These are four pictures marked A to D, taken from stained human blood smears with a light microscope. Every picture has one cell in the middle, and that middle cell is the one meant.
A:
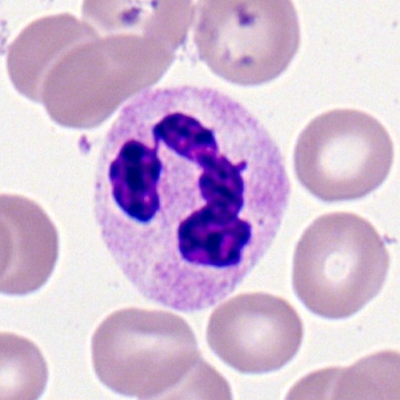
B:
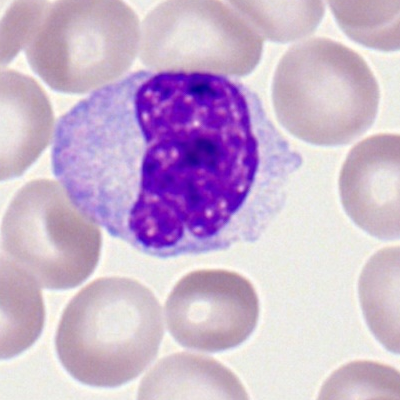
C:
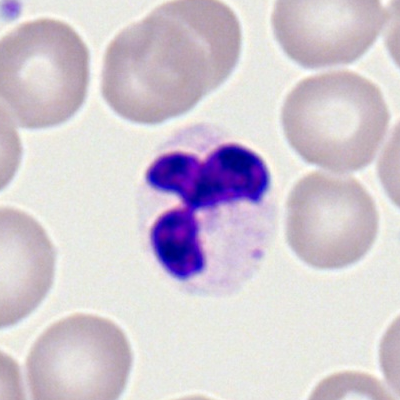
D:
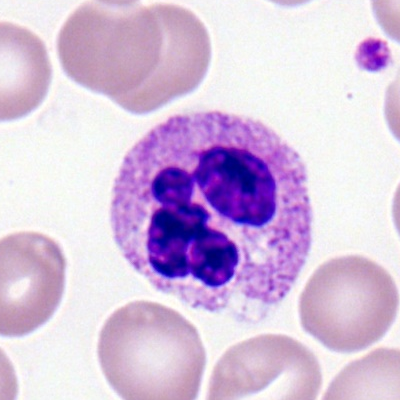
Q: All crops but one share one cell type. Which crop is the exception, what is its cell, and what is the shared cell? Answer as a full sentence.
A different cell type, a monocyte, occupies crop B; the other crops show segmented neutrophils.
